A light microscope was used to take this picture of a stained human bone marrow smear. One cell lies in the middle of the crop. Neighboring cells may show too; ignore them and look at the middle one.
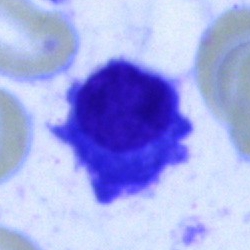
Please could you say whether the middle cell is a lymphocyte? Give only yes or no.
no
